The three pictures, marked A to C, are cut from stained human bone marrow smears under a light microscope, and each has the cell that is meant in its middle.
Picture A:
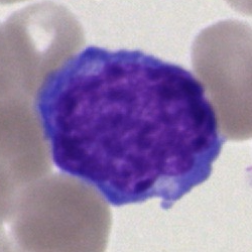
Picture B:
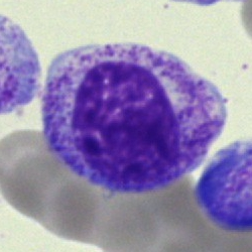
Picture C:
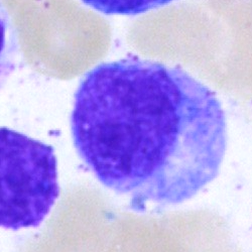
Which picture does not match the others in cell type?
A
